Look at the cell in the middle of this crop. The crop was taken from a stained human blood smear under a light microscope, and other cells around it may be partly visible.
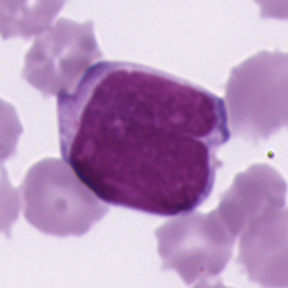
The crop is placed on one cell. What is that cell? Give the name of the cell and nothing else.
myeloblast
